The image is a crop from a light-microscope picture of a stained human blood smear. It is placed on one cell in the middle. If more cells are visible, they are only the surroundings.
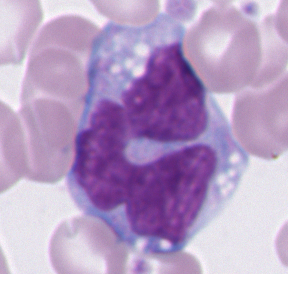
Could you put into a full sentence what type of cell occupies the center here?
Whatever else lies nearby, the middle cell is a monocyte.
